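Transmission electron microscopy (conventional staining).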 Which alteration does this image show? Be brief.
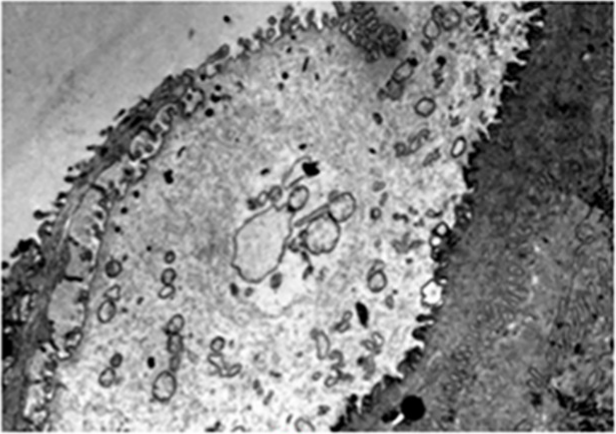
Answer: Cell edema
